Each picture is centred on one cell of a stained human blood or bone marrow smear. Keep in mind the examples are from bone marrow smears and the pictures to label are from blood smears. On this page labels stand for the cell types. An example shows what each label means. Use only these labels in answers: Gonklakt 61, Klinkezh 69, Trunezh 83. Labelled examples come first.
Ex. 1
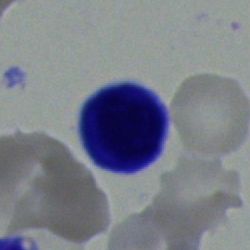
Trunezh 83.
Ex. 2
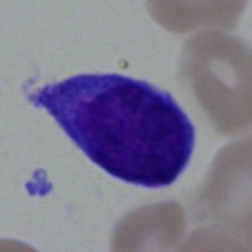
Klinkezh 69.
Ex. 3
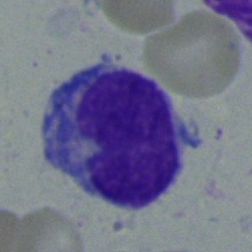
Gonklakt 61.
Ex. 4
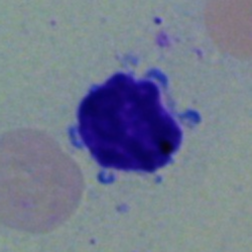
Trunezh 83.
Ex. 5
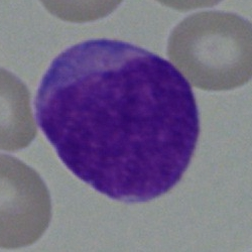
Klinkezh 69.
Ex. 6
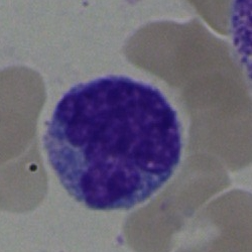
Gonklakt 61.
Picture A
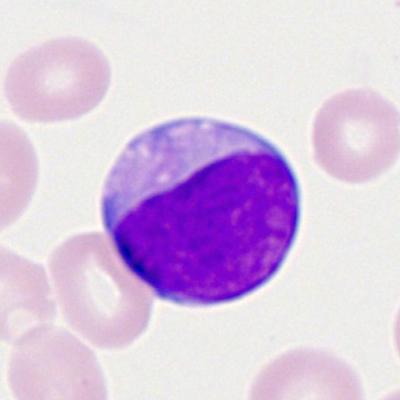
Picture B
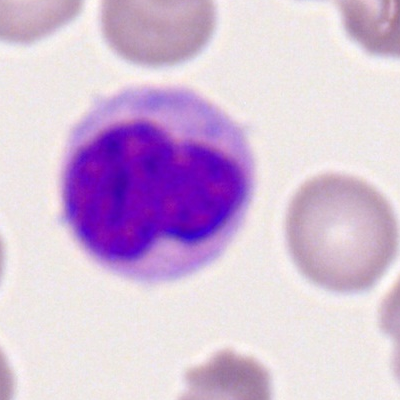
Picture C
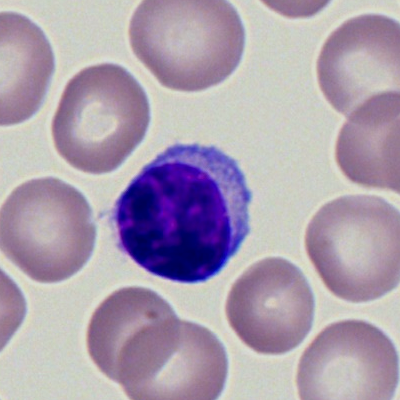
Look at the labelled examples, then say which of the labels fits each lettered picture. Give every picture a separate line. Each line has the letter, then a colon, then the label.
A: Klinkezh 69.
B: Gonklakt 61.
C: Trunezh 83.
